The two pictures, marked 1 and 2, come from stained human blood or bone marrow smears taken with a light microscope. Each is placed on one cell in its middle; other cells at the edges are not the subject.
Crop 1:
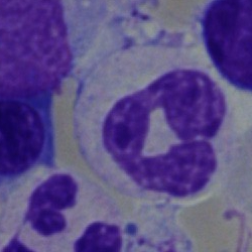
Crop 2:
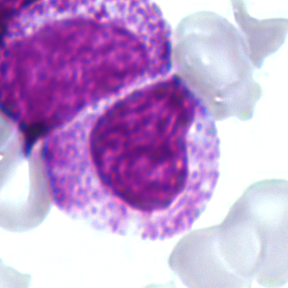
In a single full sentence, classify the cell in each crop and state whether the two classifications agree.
Yes, band neutrophils are depicted in both crops.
